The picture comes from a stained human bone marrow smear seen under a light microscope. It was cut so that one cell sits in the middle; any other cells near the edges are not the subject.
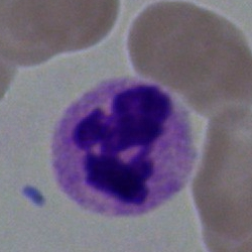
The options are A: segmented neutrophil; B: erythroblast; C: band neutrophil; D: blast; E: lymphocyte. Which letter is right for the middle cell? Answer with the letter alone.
A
